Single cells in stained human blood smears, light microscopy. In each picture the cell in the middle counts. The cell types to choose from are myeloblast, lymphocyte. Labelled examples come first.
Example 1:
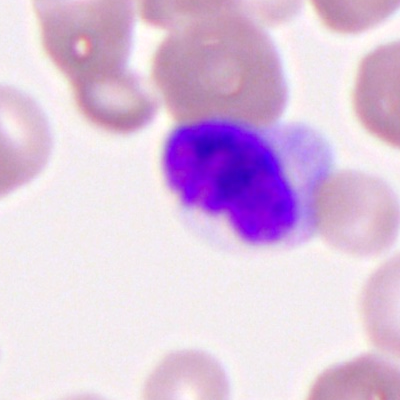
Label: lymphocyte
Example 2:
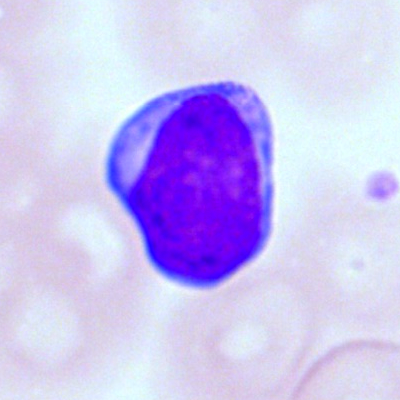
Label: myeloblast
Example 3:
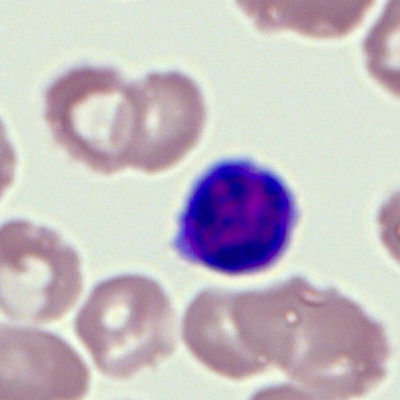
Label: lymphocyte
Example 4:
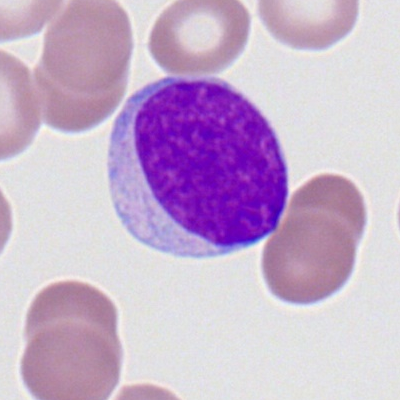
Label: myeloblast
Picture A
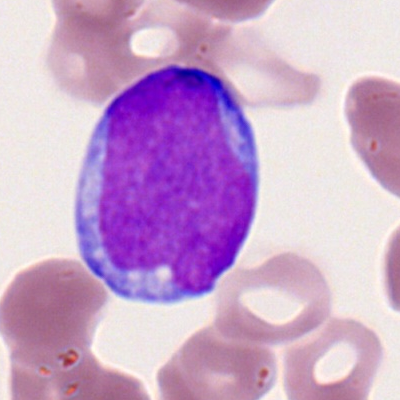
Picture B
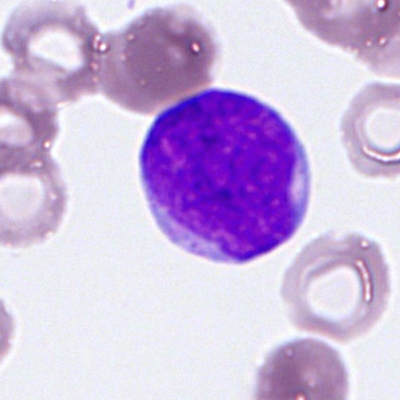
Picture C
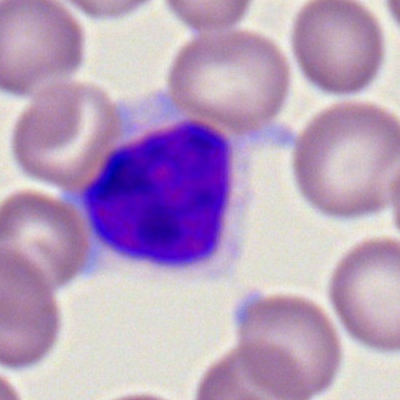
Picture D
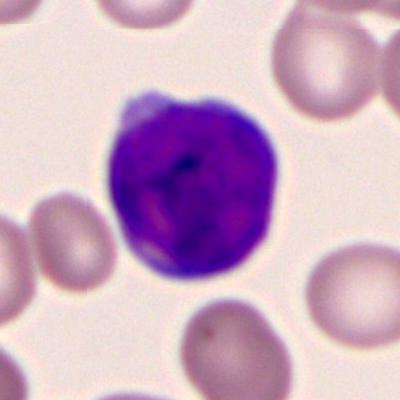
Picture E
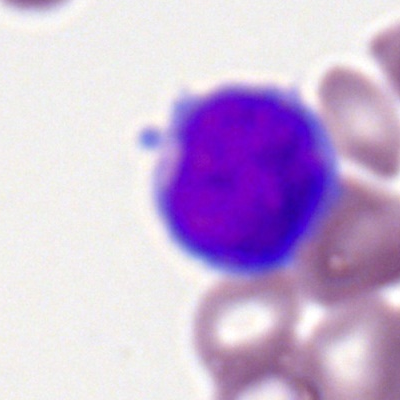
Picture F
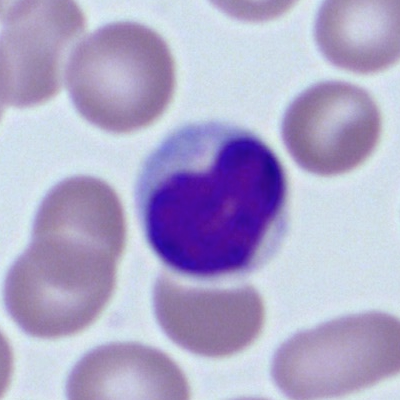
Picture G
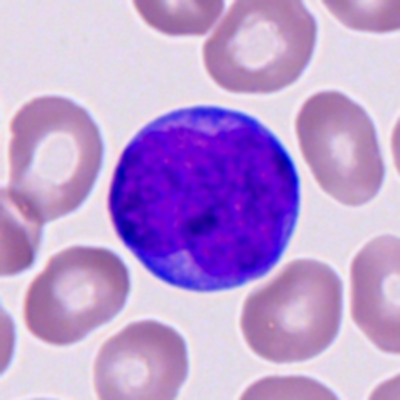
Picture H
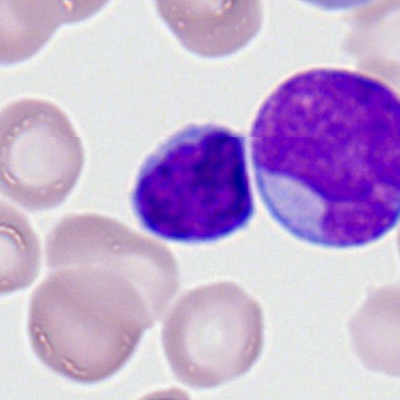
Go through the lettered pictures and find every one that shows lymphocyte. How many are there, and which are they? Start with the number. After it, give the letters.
3: C, F, H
